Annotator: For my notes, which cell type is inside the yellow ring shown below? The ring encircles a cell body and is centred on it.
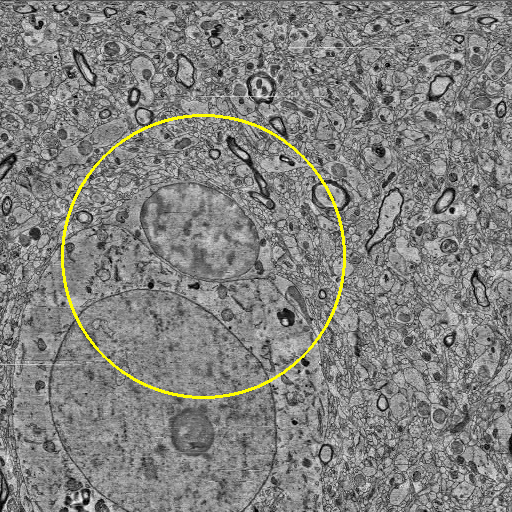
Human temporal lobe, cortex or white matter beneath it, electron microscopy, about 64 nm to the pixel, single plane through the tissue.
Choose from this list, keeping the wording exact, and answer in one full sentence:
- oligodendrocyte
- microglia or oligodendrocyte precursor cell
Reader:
At the centre of the yellow ring there is an oligodendrocyte, as shown in the picture.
